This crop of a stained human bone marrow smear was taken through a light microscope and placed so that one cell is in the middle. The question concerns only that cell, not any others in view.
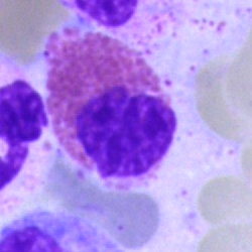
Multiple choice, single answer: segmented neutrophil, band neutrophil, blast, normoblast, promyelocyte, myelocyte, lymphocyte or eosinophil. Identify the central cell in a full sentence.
The cell that lies at the centre of the crop is an eosinophil.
